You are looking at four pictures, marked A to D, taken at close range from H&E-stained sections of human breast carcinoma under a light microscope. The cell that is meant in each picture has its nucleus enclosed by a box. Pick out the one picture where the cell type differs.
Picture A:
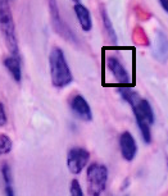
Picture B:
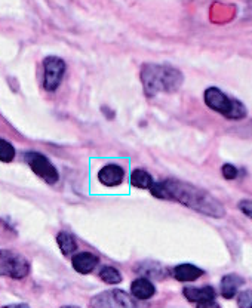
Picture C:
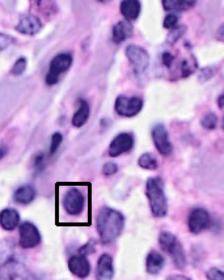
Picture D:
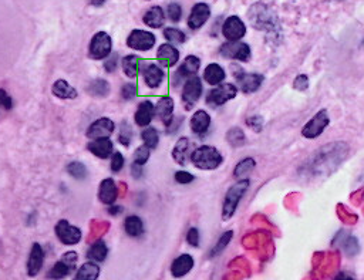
A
